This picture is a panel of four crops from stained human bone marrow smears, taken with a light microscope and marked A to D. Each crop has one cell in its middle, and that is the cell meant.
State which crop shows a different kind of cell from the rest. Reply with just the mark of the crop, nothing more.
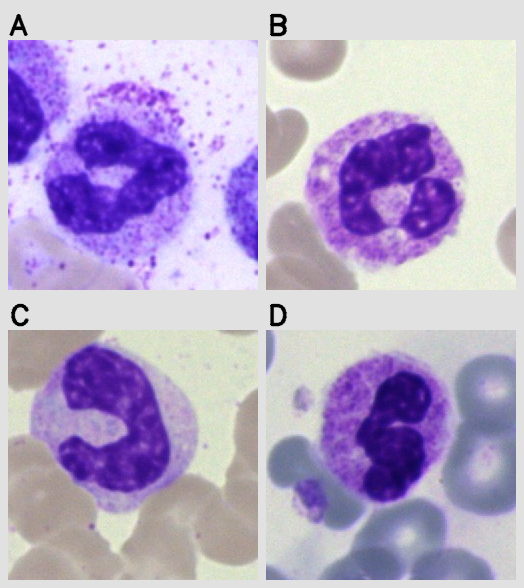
C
